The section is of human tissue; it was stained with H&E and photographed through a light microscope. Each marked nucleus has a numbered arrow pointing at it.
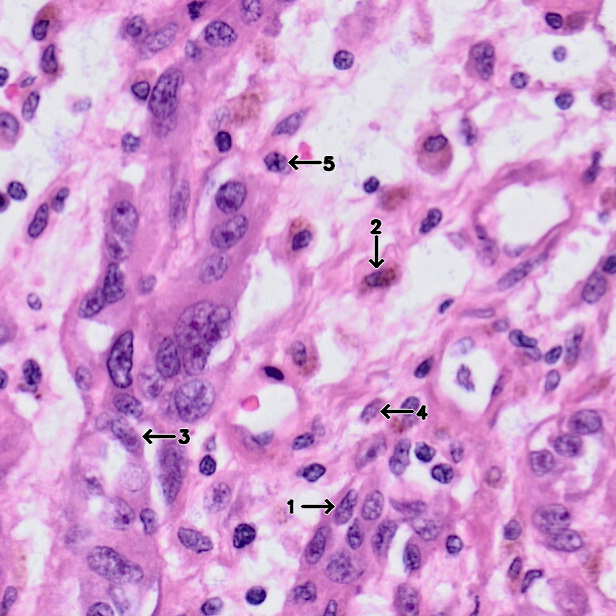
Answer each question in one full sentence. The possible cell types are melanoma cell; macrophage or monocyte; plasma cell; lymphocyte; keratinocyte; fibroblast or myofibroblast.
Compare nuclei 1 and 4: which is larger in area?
At about 1.5 times the area of nucleus 4, nucleus 1 is the larger of the two.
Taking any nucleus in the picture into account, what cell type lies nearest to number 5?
Number 5 lies closest to the nucleus of a macrophage or monocyte.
